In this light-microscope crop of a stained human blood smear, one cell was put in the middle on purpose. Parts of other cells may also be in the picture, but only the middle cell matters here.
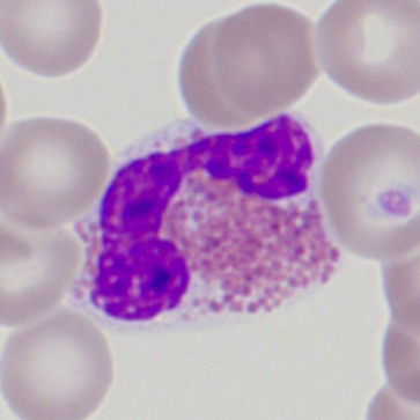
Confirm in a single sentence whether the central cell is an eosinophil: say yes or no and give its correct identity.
Yes, the cell at the centre of the field is an eosinophil.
